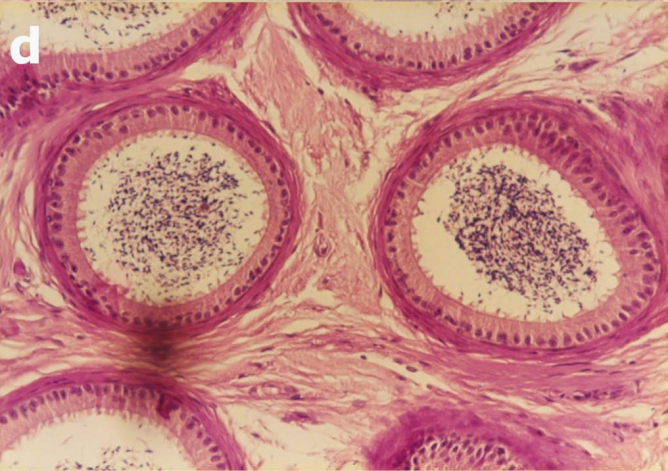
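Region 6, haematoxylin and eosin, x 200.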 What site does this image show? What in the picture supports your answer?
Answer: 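Cauda epididymidis. Ducts have a very wide lumen packed with sperm. The epithelium is low relative to the duct diameter. A thick muscular coat surrounds each duct.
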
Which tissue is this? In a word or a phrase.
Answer: Epididymis.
